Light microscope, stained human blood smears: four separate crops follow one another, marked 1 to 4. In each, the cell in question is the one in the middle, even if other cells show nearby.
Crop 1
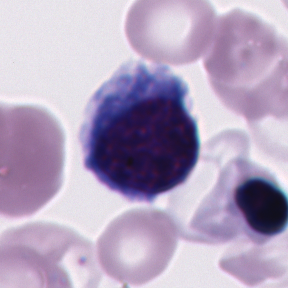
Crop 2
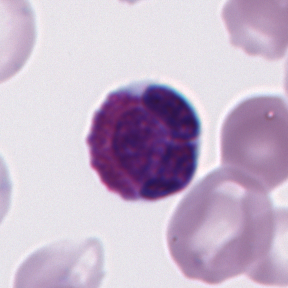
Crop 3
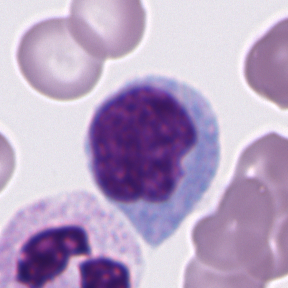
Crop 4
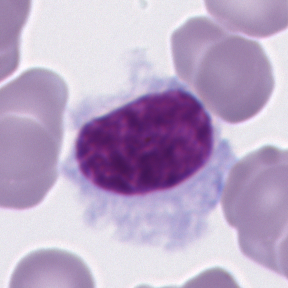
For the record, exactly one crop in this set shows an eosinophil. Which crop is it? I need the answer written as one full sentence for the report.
Among all the crops given here, the one with an eosinophil is crop 2.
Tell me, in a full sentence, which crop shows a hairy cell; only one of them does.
Crop 4 is the one to choose: it shows a hairy cell.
